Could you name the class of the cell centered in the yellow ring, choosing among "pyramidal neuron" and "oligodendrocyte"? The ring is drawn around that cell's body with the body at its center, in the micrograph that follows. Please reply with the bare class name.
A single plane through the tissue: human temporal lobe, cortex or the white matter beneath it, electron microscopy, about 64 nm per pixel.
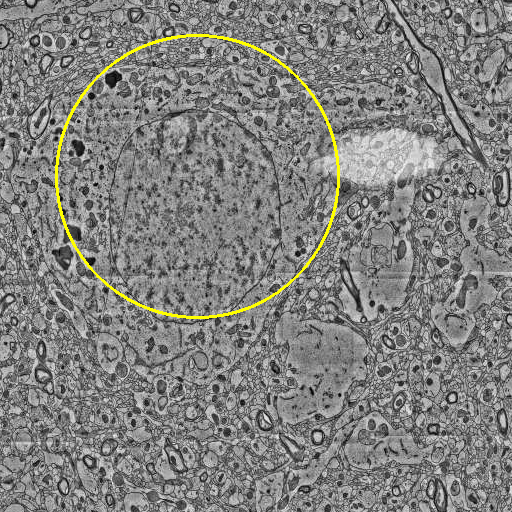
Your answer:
pyramidal neuron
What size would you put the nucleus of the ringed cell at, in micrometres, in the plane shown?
The nucleus works out at approximately 14 by 12 micrometres in this plane.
